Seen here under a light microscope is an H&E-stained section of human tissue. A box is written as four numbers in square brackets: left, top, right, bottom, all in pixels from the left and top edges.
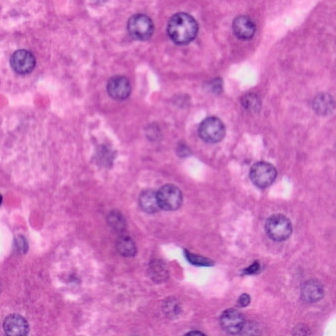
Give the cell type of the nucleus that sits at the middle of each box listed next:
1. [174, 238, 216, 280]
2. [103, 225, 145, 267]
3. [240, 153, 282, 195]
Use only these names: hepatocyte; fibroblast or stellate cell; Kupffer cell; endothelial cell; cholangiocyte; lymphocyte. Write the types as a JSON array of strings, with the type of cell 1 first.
["endothelial cell", "hepatocyte", "hepatocyte"]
